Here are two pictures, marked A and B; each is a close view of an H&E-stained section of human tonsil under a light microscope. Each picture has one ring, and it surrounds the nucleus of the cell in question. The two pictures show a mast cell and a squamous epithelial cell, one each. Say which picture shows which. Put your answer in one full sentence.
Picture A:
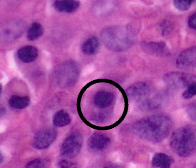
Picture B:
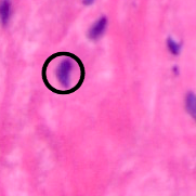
Picture A shows a squamous epithelial cell and picture B shows a mast cell.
